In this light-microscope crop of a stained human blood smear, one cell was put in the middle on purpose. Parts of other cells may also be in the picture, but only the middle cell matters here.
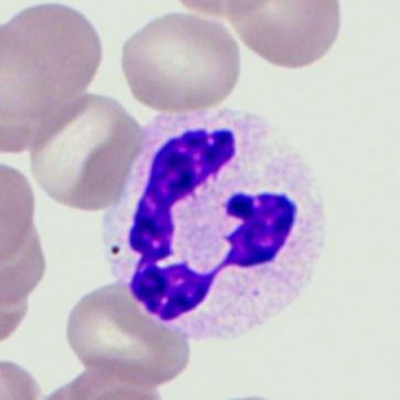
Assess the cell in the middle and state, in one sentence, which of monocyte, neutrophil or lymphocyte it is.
The cell centered in this field of view is a neutrophil.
